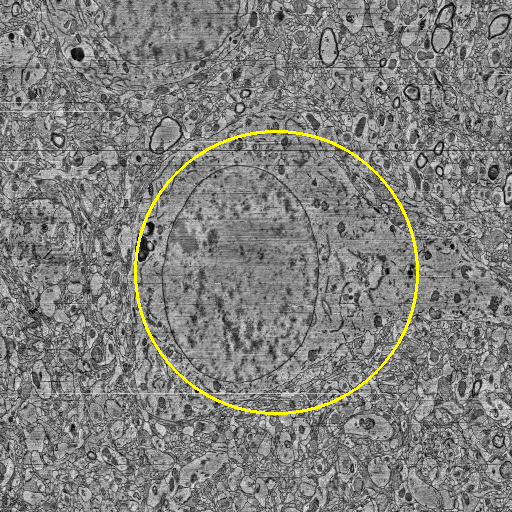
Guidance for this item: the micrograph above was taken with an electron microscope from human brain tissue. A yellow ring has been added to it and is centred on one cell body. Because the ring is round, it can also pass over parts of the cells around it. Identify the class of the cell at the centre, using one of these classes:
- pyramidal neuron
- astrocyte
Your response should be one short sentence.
The ring surrounds the body of a pyramidal neuron.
